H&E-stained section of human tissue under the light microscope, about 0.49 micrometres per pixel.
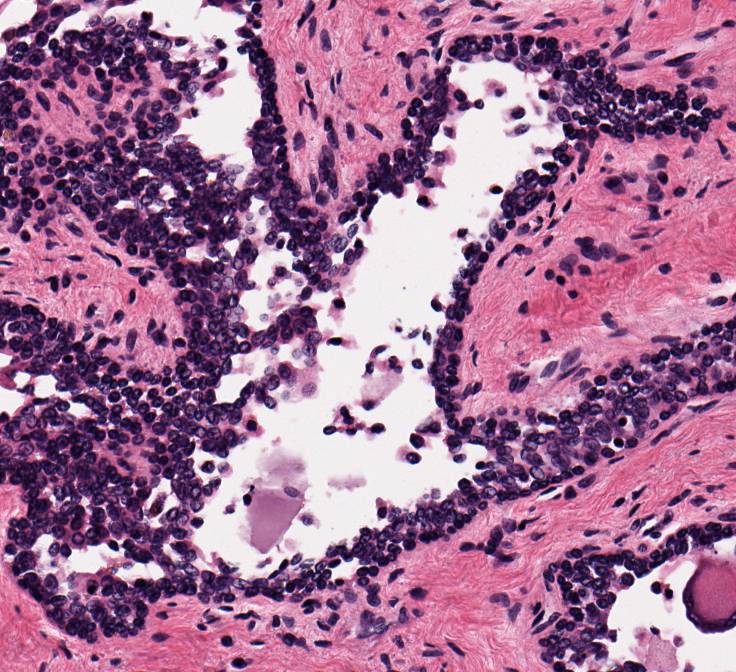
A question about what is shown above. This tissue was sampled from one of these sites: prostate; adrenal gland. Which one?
prostate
